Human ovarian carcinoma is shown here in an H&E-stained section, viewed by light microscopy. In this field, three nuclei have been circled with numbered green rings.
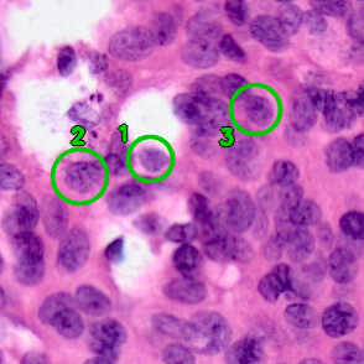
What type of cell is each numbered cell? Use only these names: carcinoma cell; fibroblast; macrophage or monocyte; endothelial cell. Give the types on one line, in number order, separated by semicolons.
macrophage or monocyte; carcinoma cell; carcinoma cell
